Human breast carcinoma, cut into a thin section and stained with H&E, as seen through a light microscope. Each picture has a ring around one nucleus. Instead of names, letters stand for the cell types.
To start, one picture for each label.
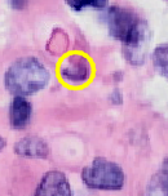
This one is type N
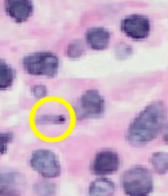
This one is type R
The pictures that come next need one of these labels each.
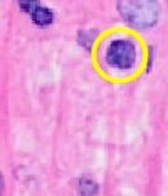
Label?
type R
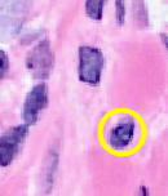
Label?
type R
